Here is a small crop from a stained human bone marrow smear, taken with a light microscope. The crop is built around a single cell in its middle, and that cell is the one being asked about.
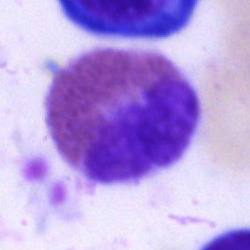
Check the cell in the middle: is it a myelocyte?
no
